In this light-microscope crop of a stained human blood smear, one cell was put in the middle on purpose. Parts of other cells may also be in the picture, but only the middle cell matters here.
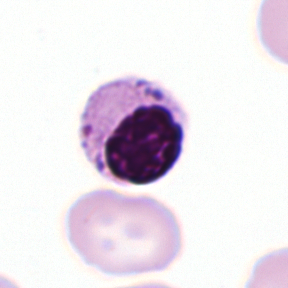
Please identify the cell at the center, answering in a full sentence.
As for the cell in the middle, it is an erythroblast.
